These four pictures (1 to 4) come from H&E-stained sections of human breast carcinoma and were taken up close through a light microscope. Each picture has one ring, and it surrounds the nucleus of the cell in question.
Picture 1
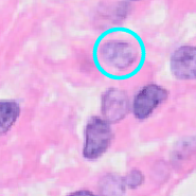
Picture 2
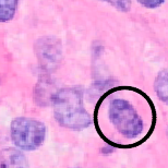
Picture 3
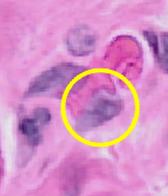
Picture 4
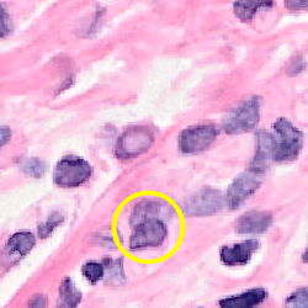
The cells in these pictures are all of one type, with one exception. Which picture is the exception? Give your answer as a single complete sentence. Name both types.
Picture 3 differs, because its cell is an endothelial cell and the rest are carcinoma cells.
